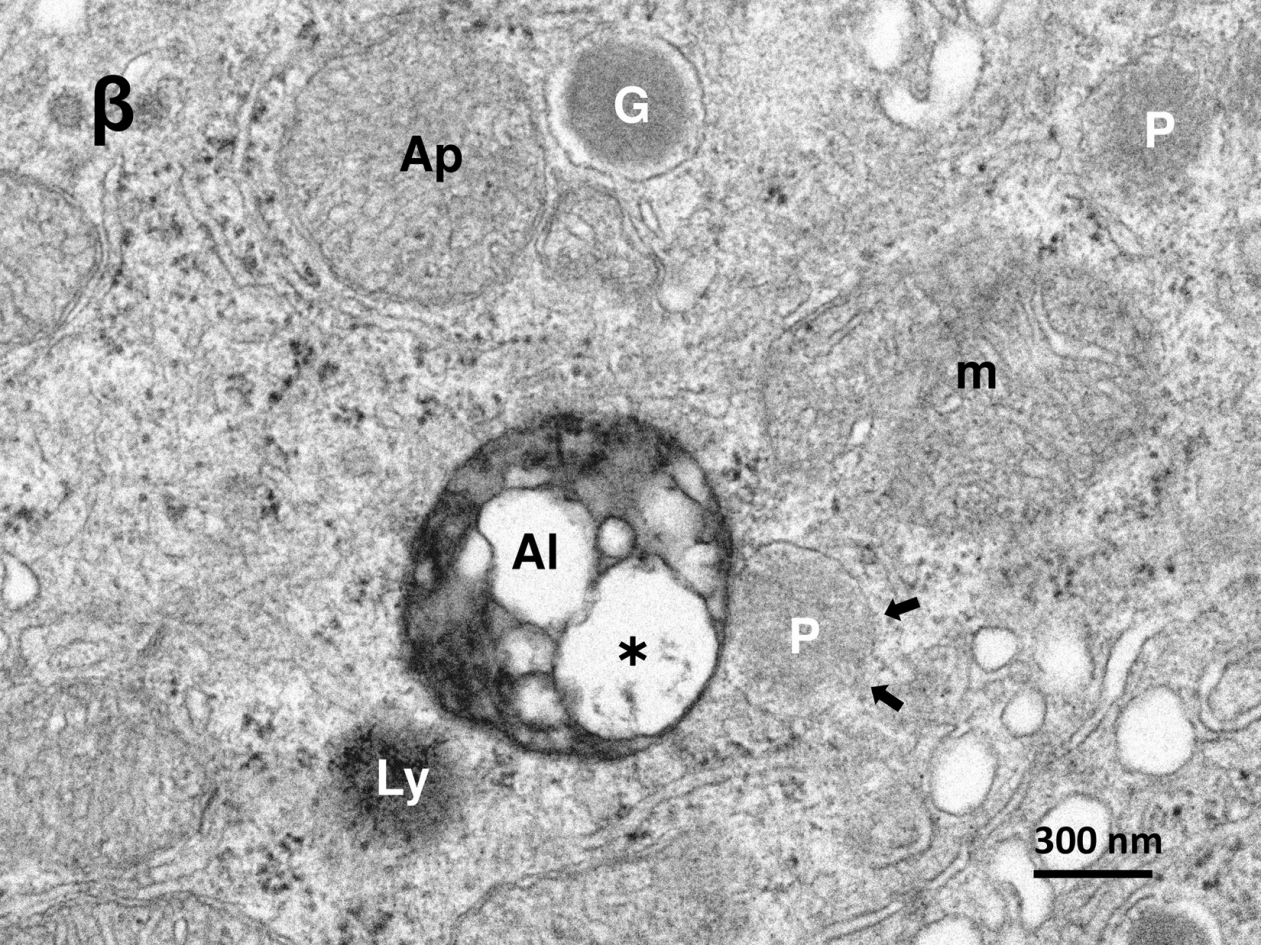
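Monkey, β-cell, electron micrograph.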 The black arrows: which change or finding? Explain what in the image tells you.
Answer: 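The arrows point to the edge of a round, moderately dense organelle. Along that edge the bounding membrane is faint and not continuous.
Answer: membrane disruption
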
